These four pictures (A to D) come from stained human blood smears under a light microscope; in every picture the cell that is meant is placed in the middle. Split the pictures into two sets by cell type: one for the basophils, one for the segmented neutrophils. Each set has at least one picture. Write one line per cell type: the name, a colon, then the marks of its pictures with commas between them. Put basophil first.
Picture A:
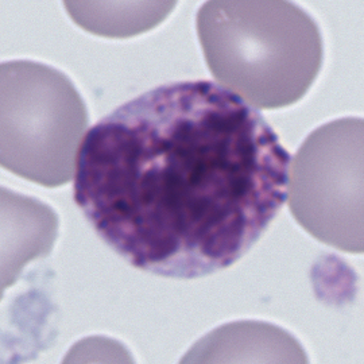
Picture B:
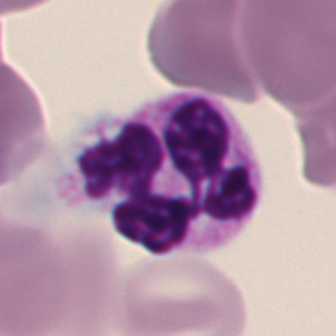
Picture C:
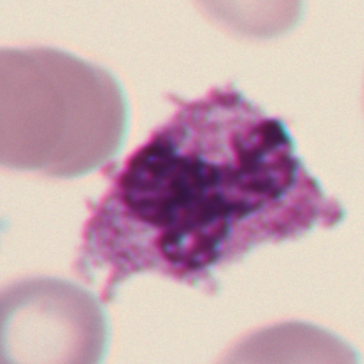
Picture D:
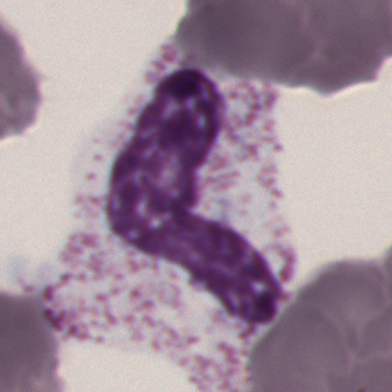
basophil: A, C
segmented neutrophil: B, D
